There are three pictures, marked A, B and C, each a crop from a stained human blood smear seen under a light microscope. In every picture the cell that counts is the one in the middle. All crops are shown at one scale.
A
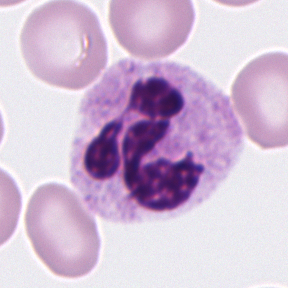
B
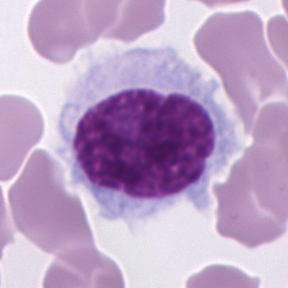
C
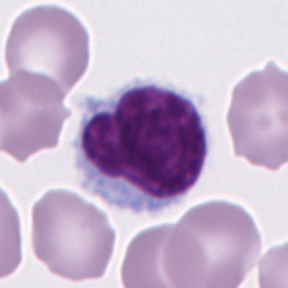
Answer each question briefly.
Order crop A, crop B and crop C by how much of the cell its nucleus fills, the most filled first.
C, B, A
